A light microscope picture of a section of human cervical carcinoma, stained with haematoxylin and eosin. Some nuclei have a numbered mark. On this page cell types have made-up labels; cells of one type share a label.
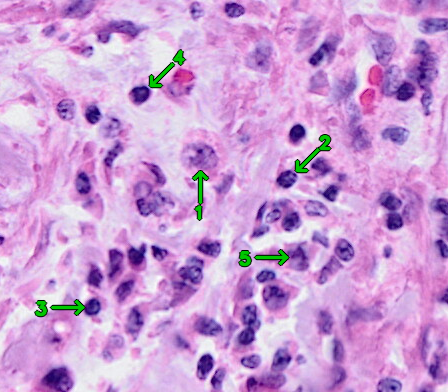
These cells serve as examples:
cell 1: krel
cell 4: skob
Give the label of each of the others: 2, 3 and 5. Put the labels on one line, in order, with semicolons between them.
skob; skob; krel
